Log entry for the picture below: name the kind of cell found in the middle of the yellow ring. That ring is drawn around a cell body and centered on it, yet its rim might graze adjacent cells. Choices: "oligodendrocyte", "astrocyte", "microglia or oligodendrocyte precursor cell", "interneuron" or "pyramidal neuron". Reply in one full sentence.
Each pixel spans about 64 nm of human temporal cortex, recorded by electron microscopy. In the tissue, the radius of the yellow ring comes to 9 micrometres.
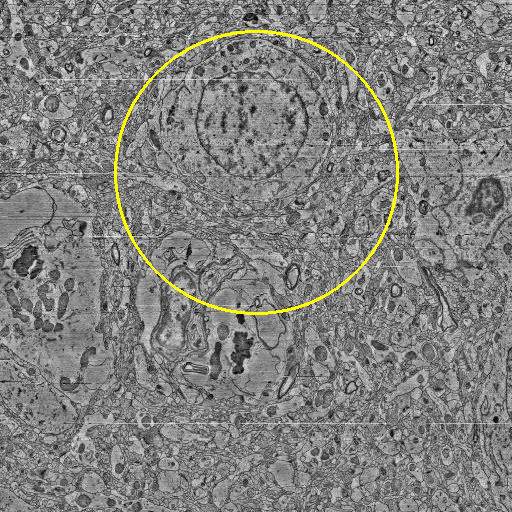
The cell in the middle of the yellow ring in this picture is a pyramidal neuron.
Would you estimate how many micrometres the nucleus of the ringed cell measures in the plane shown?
Approximately 7 micrometres across in this plane.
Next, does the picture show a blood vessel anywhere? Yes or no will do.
Yes, one is visible.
